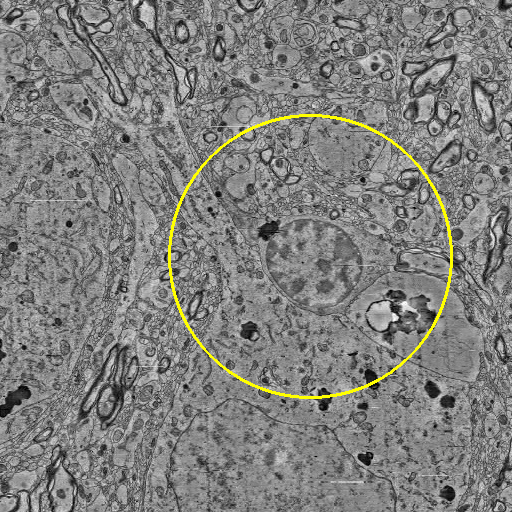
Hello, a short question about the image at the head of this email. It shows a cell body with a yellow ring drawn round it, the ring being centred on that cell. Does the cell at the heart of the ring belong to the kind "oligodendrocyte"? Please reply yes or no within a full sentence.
Yes, the cell at the heart of the ring in that image is of that kind.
